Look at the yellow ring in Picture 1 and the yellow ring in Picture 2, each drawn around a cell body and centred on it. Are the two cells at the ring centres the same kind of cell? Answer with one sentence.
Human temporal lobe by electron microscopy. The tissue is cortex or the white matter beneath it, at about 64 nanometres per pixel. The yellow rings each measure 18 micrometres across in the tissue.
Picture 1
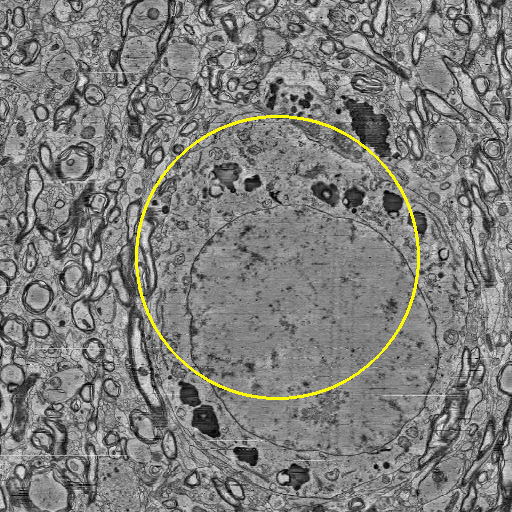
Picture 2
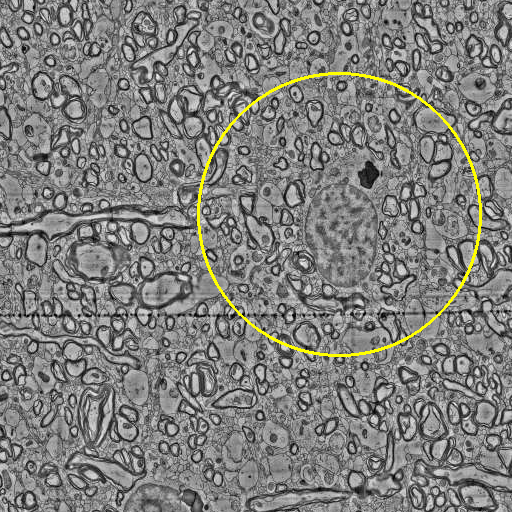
No, they are cells of two kinds.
